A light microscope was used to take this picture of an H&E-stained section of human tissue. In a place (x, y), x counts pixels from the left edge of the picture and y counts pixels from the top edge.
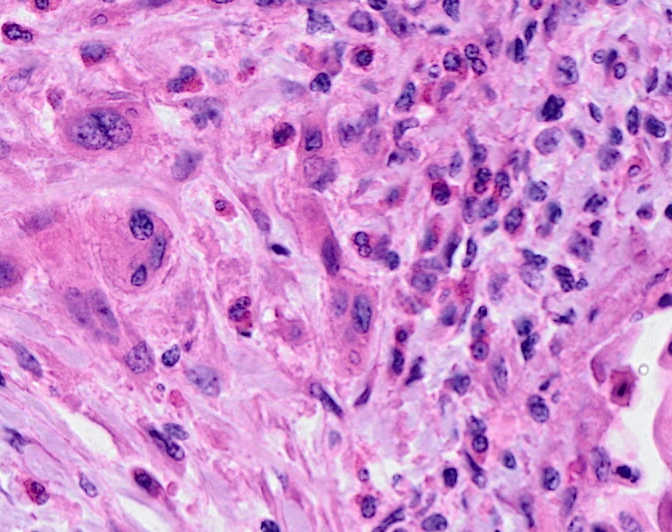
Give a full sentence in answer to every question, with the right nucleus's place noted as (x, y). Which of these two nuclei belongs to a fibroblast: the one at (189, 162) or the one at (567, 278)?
The nucleus situated at (189, 162) is the one belonging to a fibroblast.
